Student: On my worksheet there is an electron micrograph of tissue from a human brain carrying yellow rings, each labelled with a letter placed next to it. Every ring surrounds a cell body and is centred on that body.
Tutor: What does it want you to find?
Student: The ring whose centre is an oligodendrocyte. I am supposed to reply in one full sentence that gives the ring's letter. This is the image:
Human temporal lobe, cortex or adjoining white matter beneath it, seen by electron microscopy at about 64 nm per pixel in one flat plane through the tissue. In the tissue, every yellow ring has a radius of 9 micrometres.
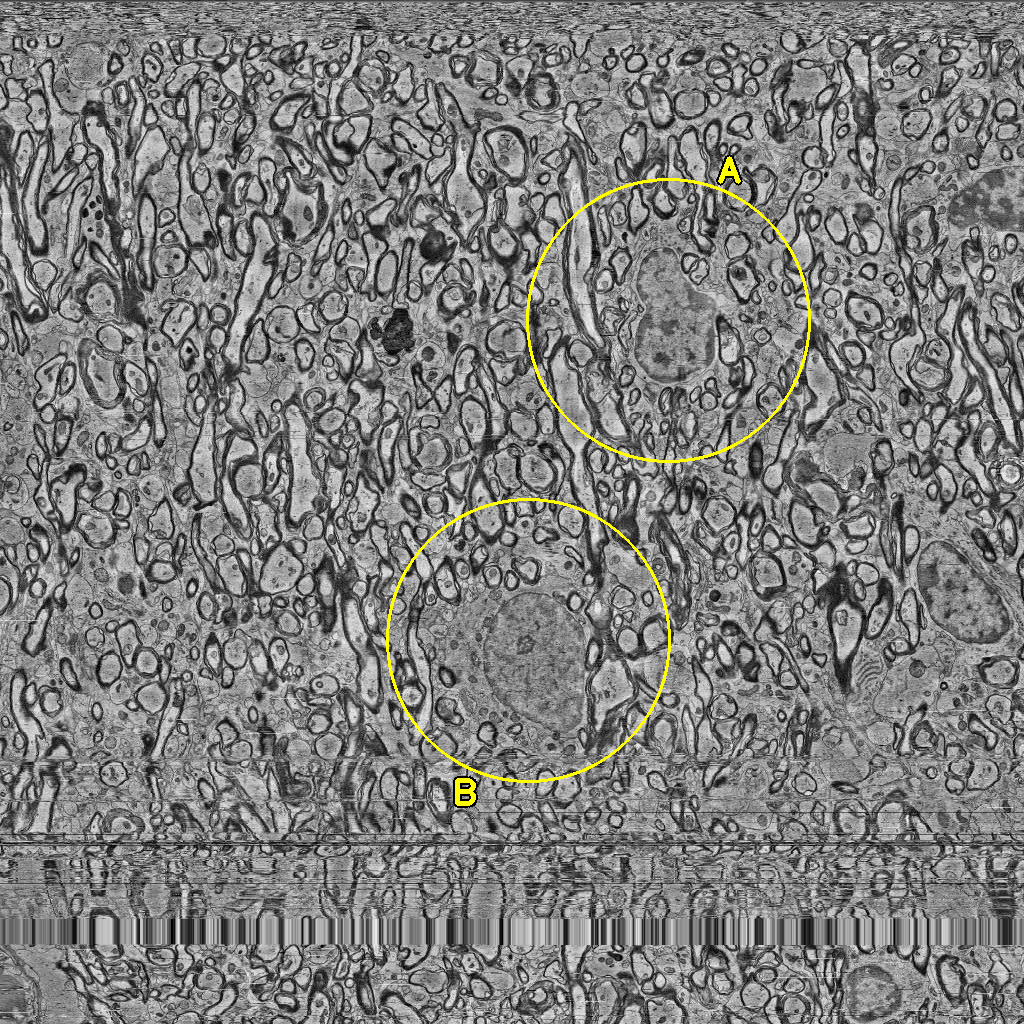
The cell asked for, shown in the picture, lies at the centre of ring B.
